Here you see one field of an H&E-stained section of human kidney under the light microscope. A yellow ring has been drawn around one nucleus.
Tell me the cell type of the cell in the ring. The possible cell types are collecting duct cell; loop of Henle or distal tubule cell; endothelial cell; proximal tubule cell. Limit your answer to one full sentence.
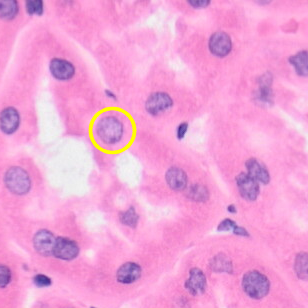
Within this tissue, the cell in the ring is a proximal tubule cell.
